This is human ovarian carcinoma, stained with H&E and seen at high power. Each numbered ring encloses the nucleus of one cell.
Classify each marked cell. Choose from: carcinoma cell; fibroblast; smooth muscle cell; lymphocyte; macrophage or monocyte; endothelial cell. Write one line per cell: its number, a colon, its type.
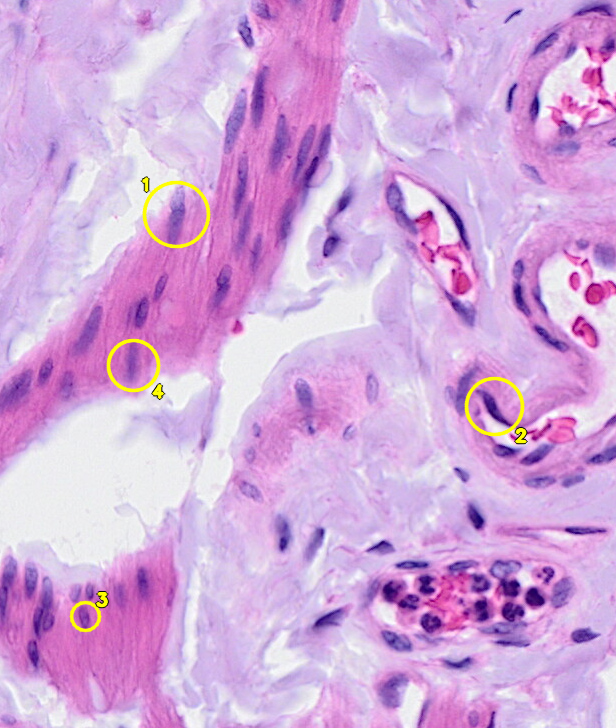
1: smooth muscle cell
2: endothelial cell
3: smooth muscle cell
4: smooth muscle cell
